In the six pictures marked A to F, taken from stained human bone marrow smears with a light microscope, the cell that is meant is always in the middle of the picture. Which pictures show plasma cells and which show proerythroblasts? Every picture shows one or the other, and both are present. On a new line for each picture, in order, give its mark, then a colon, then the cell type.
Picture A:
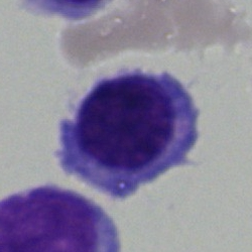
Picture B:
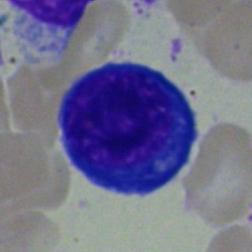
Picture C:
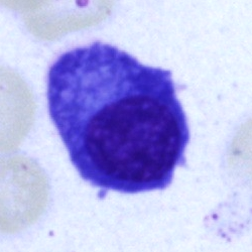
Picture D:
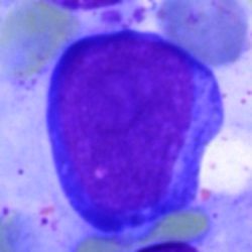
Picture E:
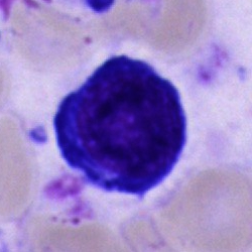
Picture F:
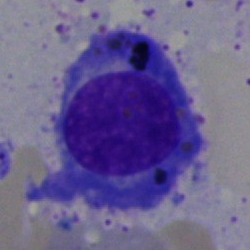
A: plasma cell
B: proerythroblast
C: plasma cell
D: proerythroblast
E: proerythroblast
F: plasma cell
